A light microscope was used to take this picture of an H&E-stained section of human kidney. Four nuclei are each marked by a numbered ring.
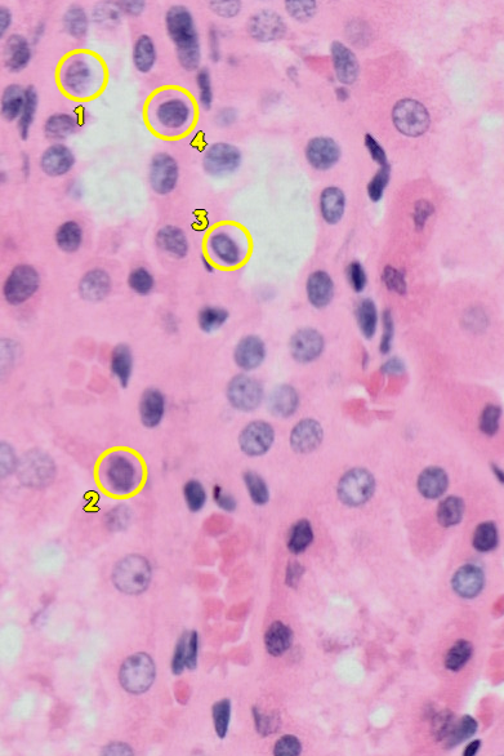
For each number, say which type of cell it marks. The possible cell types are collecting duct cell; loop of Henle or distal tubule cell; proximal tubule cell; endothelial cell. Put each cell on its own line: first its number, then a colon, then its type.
1: loop of Henle or distal tubule cell
2: proximal tubule cell
3: loop of Henle or distal tubule cell
4: loop of Henle or distal tubule cell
